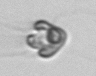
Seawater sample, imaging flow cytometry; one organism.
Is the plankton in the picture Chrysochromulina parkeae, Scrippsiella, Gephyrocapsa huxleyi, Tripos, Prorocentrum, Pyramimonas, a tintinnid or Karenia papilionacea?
It is Pyramimonas.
